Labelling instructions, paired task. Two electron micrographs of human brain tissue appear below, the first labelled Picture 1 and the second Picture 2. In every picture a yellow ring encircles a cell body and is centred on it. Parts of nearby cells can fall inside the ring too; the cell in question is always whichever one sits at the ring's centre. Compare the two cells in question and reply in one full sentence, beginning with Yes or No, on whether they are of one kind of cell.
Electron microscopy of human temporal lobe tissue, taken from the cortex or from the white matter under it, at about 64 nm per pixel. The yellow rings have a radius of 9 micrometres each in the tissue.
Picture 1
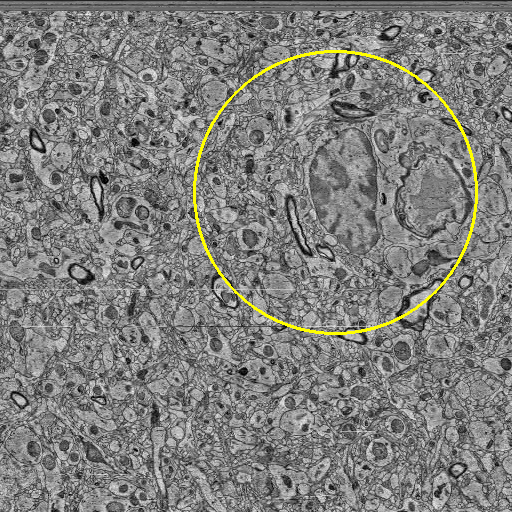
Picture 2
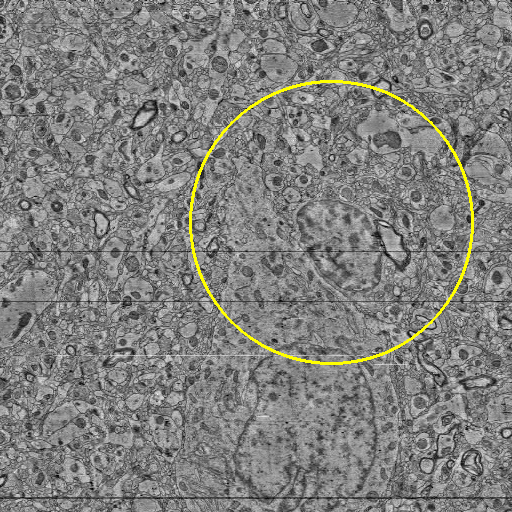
No, the two cells at the ring centres in Picture 1 and Picture 2 are of two kinds.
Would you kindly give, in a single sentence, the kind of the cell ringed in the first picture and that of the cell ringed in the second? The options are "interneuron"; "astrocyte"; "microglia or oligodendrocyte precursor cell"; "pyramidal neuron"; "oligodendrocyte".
The second cell is an oligodendrocyte, and the first cell is a microglial cell or oligodendrocyte precursor cell.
